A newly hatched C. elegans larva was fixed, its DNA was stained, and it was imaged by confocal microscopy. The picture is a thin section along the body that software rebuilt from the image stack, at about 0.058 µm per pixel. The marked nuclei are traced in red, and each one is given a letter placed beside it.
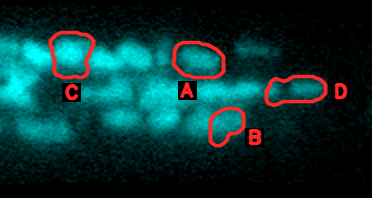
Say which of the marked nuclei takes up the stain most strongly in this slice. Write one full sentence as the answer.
C is the most strongly stained.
